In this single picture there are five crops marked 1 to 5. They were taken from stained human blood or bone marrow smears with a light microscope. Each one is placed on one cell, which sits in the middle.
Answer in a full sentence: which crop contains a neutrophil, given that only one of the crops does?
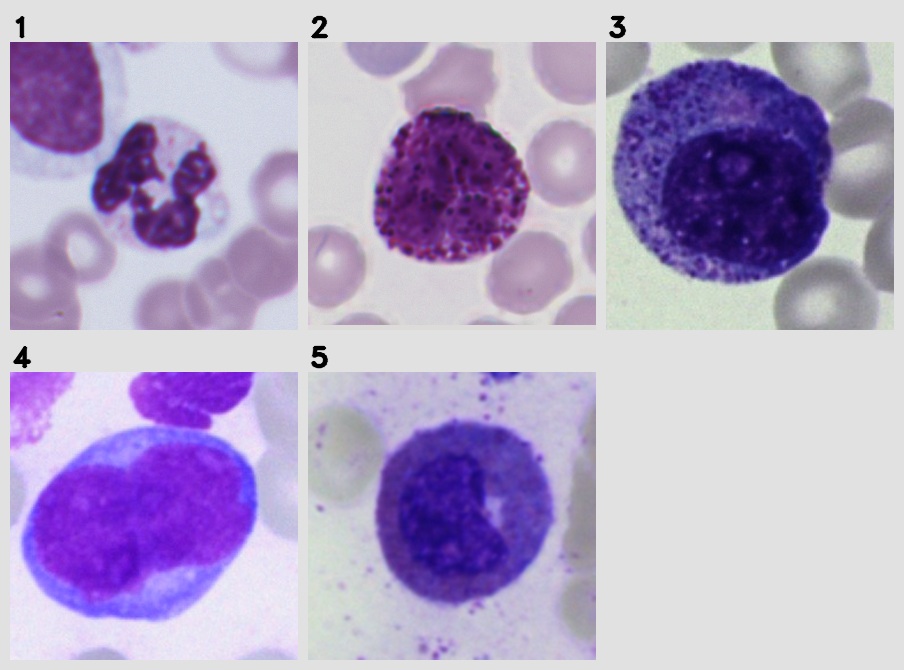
Crop 1 is the crop that displays a neutrophil.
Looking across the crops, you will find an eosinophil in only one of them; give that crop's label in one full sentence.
Of the crops given, an eosinophil is found in crop 5.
